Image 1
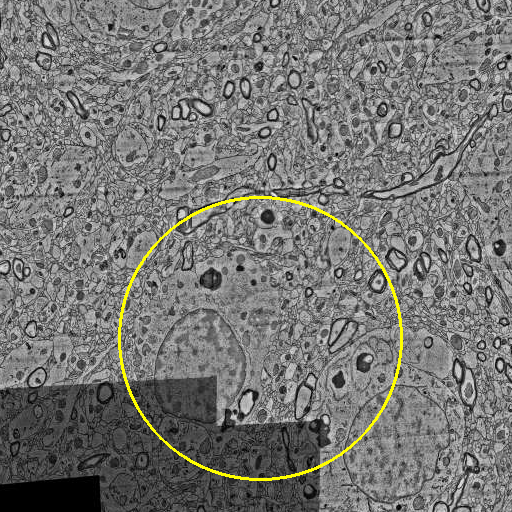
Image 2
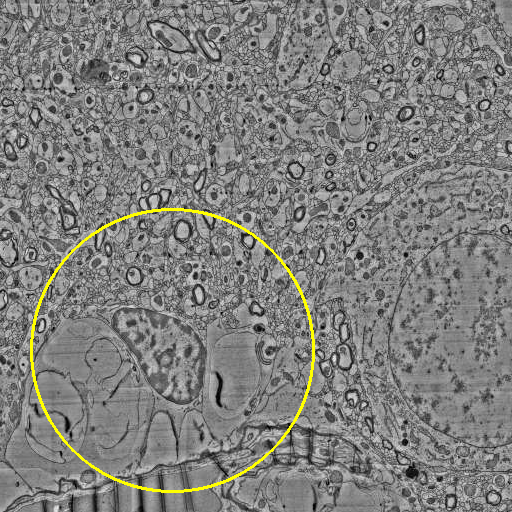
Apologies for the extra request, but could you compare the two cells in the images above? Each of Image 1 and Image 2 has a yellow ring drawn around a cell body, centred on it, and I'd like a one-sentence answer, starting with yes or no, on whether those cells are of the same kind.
No, the two cells are of two kinds.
